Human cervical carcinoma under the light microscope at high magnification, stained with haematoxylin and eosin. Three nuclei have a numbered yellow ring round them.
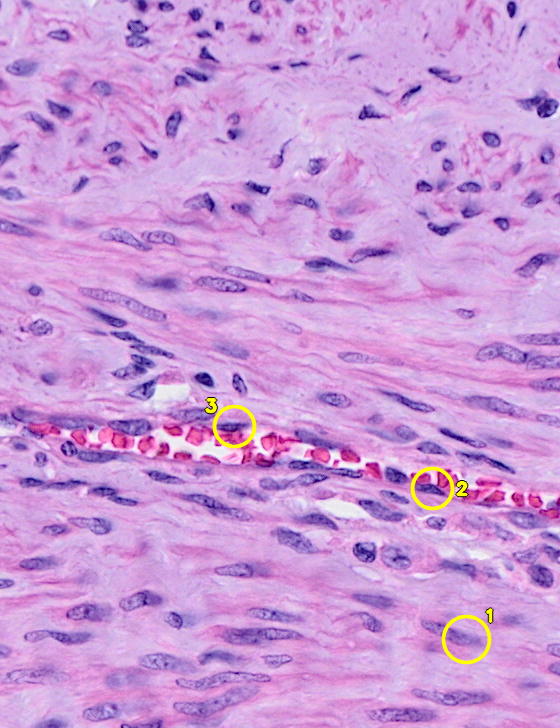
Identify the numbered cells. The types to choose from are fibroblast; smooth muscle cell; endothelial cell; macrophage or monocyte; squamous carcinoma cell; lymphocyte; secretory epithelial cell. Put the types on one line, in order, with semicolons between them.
smooth muscle cell; endothelial cell; endothelial cell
